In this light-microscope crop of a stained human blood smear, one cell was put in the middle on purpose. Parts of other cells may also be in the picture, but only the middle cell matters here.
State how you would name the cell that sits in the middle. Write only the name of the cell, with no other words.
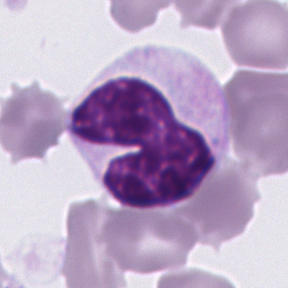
band neutrophil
